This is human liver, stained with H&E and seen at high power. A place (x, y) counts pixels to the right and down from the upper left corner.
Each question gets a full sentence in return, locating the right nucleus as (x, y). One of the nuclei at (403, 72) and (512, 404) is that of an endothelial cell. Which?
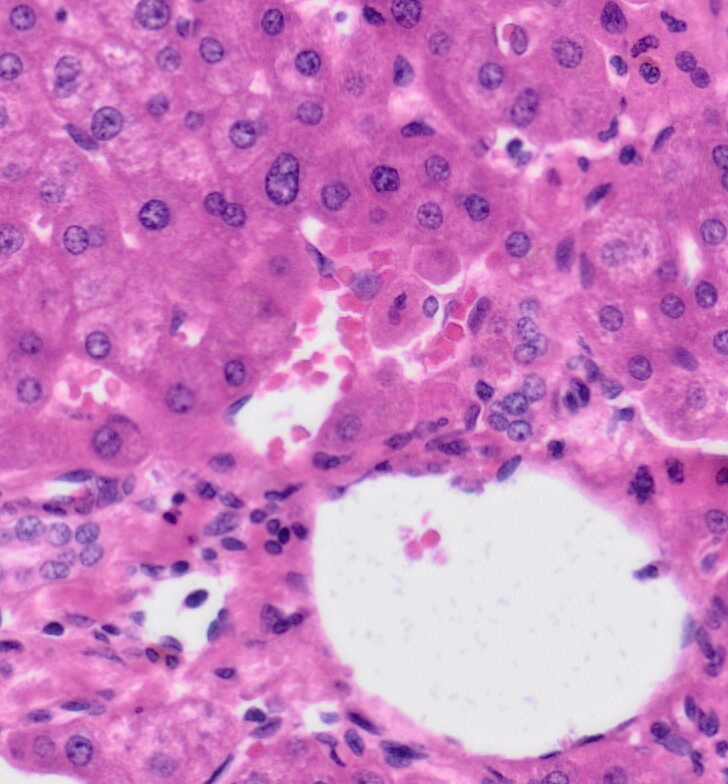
Housed in an endothelial cell is the nucleus at (403, 72), not the other one.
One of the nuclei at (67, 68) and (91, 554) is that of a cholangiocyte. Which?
Identified as belonging to a cholangiocyte is the nucleus at (91, 554).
